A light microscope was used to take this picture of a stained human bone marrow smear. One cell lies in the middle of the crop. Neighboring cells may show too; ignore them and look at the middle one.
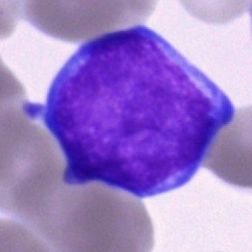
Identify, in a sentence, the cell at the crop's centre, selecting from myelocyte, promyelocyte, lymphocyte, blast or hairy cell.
The cell at the central position in this crop is a blast.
